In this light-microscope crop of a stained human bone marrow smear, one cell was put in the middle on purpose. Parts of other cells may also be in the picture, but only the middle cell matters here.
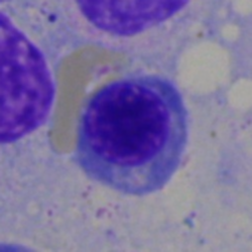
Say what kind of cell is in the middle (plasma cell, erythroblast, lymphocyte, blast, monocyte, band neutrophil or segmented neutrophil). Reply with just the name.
erythroblast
